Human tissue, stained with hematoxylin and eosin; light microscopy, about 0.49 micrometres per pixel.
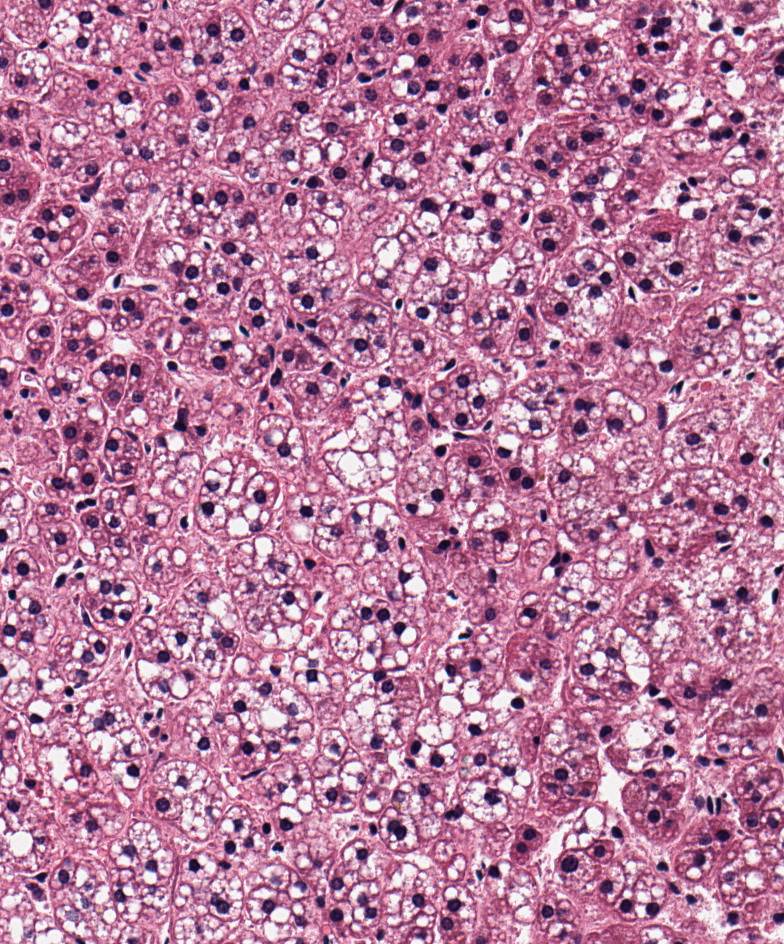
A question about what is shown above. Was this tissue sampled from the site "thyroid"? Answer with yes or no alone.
no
